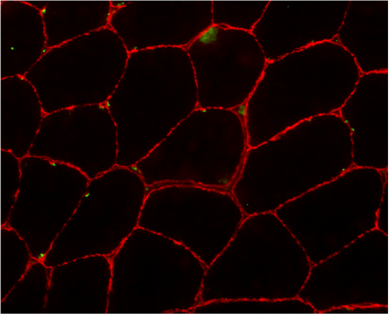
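This is a cross section of skeletal muscle showing large polygonal muscle fibres, each bounded by a thin red outline, packed edge to edge. Only a few faint small green dots are seen along the fibre borders, and the fibre interiors are dark.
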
